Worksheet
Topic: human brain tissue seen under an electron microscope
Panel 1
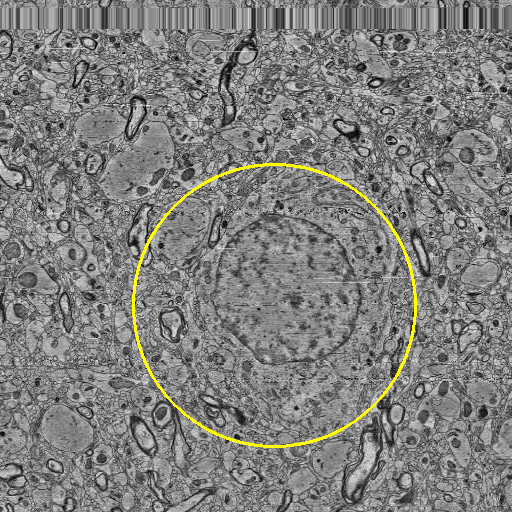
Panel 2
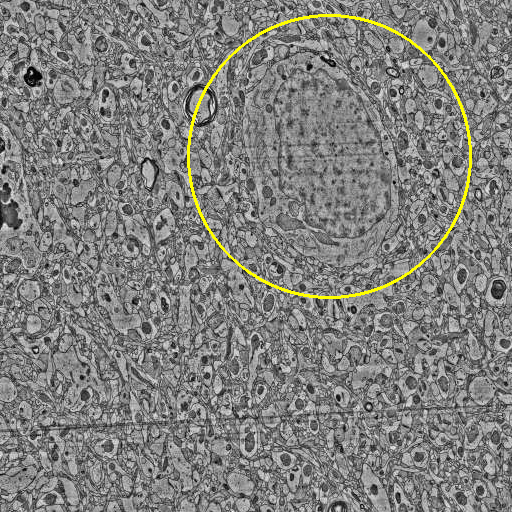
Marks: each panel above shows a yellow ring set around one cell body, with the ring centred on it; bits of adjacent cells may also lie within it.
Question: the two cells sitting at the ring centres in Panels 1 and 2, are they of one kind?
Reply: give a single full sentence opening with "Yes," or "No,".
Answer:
Yes, the two ring-centre cells in Panel 1 and Panel 2 are of one kind.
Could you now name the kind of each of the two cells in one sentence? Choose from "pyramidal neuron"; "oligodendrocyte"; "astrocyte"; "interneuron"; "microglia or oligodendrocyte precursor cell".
The first and the second cell are each an interneuron.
